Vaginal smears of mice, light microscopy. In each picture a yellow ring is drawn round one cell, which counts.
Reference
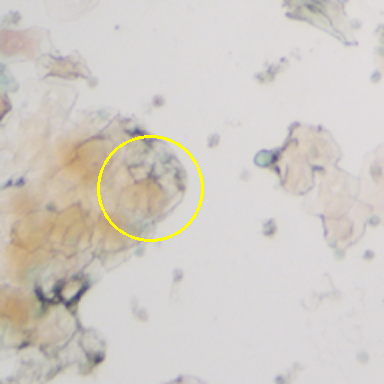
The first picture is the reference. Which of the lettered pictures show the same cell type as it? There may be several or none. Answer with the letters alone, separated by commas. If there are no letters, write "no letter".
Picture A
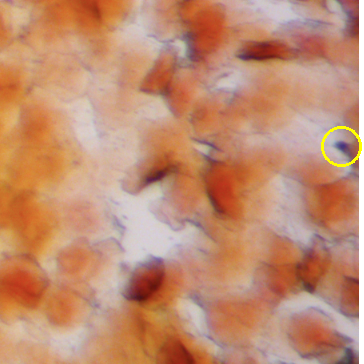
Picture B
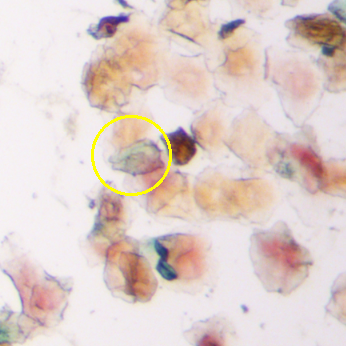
B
